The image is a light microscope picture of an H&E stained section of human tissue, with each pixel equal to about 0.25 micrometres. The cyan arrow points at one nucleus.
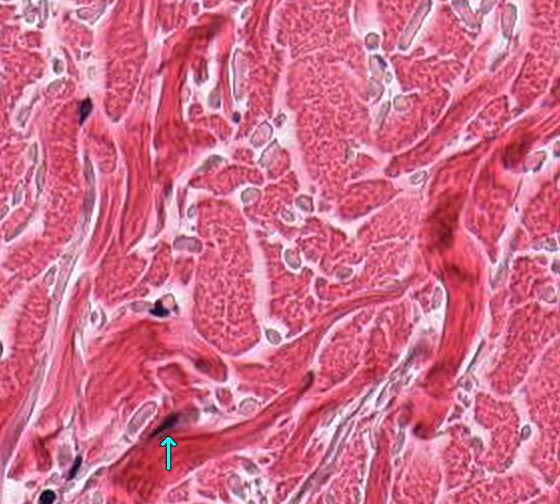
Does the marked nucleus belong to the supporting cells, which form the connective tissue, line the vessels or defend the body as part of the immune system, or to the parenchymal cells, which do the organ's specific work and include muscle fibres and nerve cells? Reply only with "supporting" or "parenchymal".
supporting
